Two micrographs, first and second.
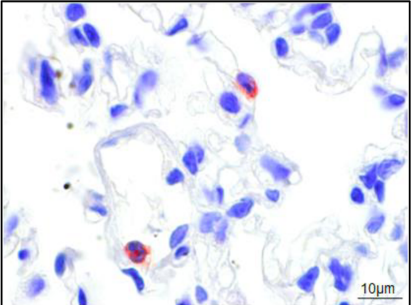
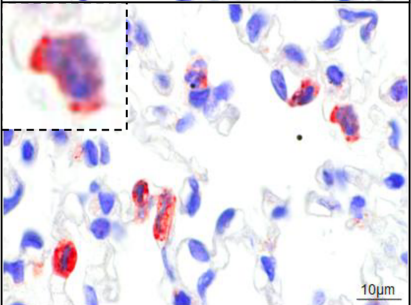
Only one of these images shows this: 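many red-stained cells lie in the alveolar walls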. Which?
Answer: The second image.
